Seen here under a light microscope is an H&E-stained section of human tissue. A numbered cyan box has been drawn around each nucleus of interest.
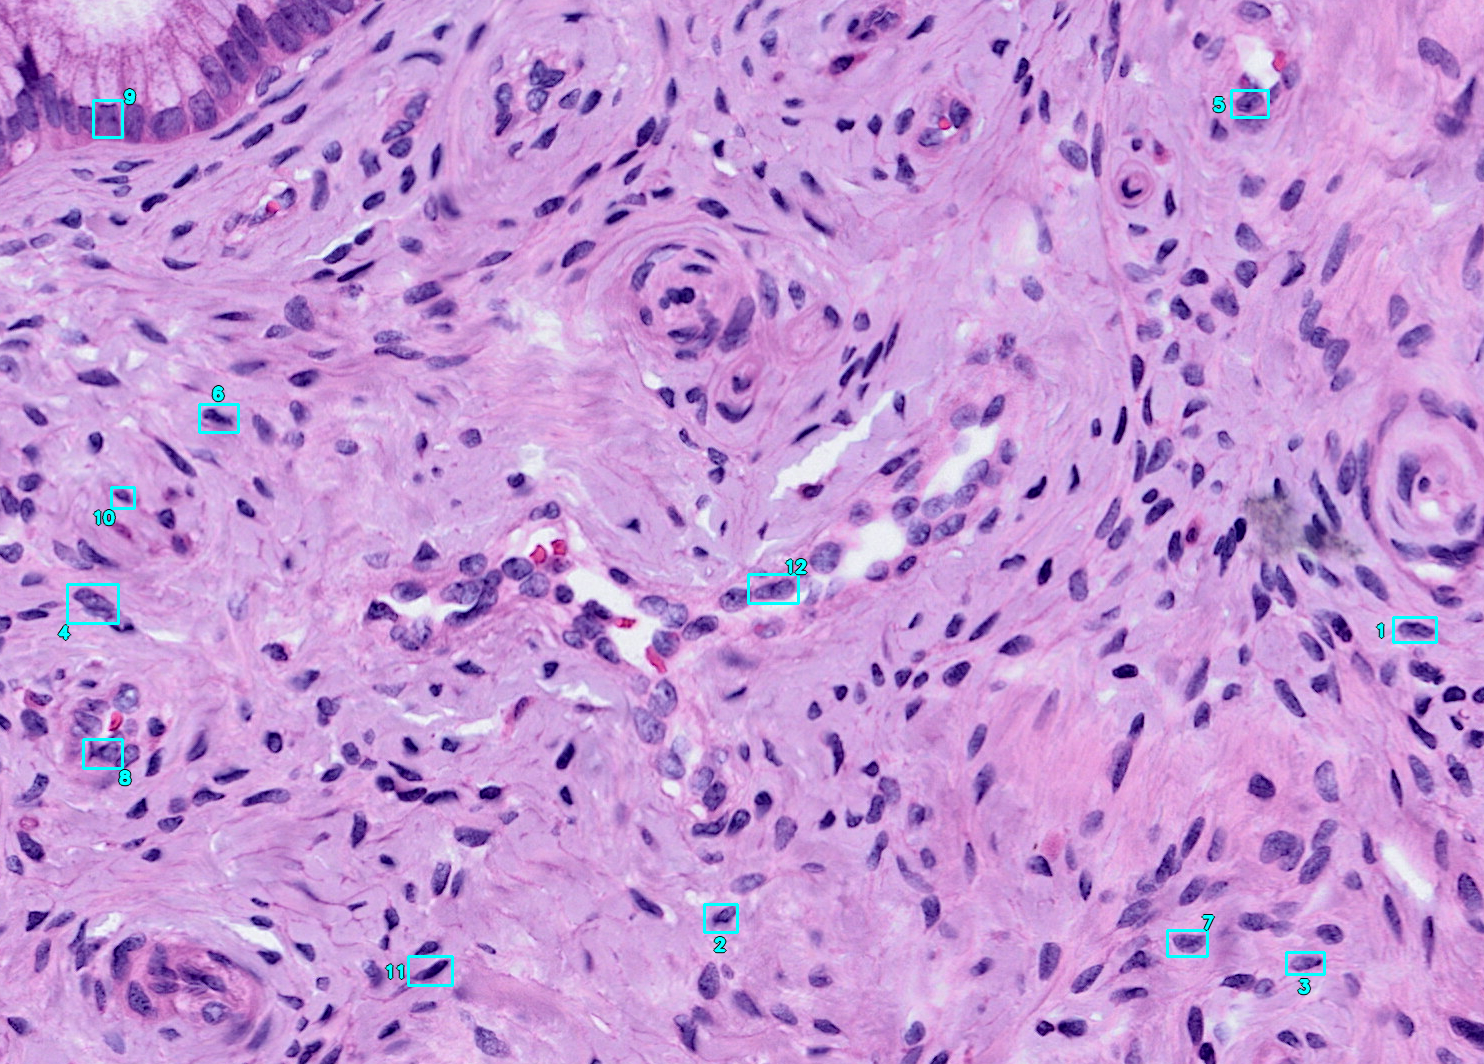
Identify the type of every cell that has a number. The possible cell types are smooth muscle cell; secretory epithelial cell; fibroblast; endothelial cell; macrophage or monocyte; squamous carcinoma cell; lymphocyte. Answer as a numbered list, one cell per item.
1. fibroblast
2. fibroblast
3. fibroblast
4. fibroblast
5. endothelial cell
6. fibroblast
7. fibroblast
8. endothelial cell
9. secretory epithelial cell
10. smooth muscle cell
11. fibroblast
12. endothelial cell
